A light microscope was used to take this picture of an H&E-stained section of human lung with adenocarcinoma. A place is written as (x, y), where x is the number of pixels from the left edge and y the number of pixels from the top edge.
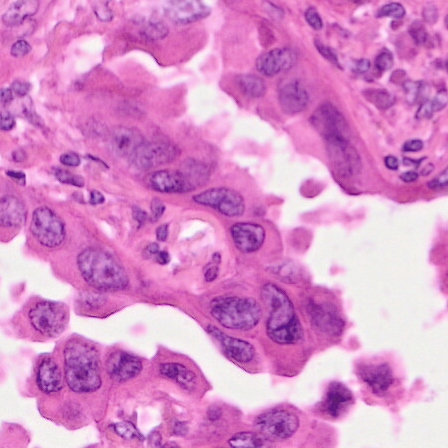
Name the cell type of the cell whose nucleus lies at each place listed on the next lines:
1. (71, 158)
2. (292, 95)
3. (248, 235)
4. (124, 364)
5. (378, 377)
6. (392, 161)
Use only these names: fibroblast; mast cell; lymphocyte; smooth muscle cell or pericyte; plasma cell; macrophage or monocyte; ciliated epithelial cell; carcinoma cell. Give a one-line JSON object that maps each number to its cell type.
{"1": "lymphocyte", "2": "carcinoma cell", "3": "carcinoma cell", "4": "carcinoma cell", "5": "carcinoma cell", "6": "lymphocyte"}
